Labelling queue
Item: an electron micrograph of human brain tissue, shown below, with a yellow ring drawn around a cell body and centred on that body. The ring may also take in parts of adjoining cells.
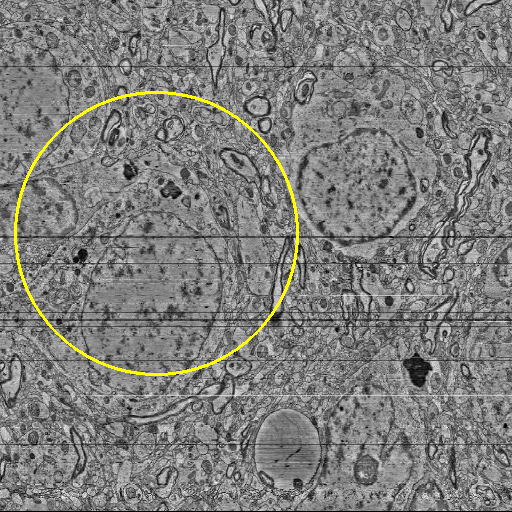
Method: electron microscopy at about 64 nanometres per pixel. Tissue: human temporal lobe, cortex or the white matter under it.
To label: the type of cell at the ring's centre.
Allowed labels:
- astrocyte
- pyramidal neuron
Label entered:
pyramidal neuron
